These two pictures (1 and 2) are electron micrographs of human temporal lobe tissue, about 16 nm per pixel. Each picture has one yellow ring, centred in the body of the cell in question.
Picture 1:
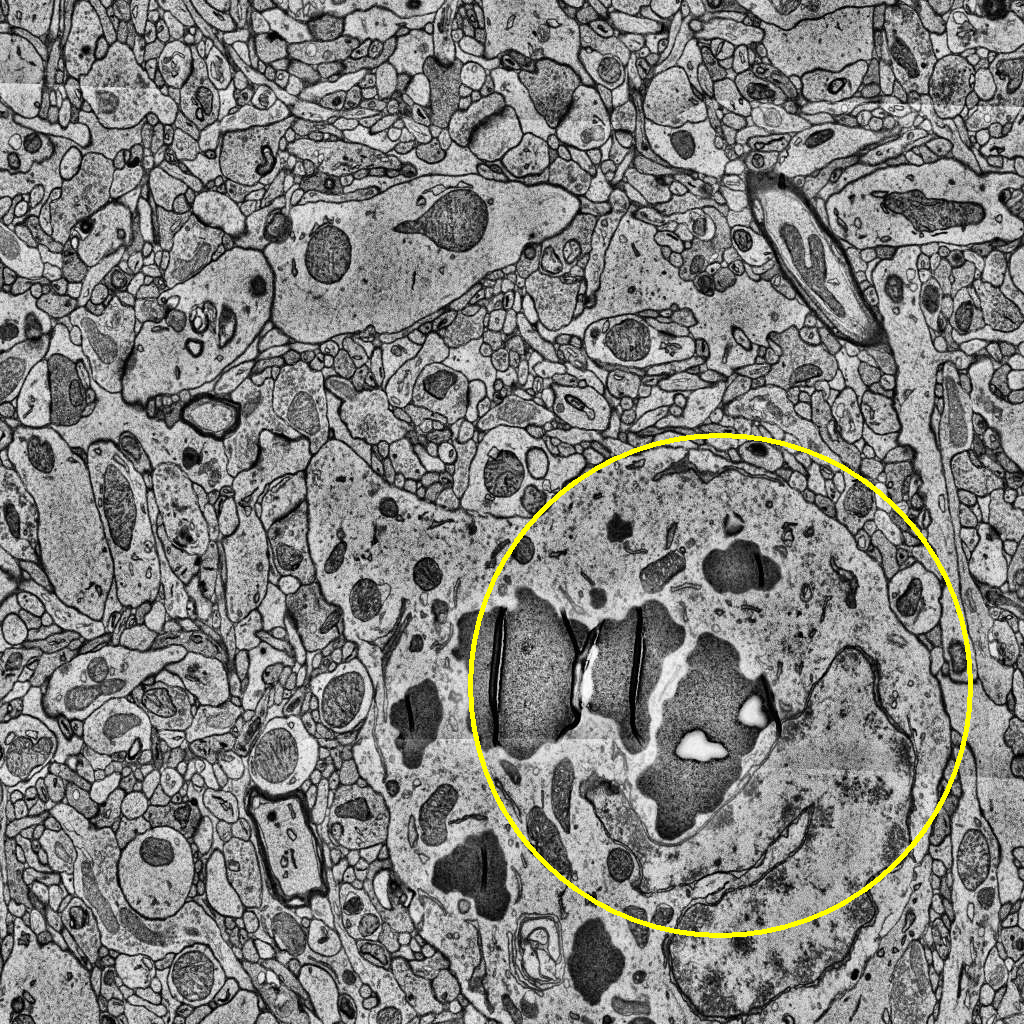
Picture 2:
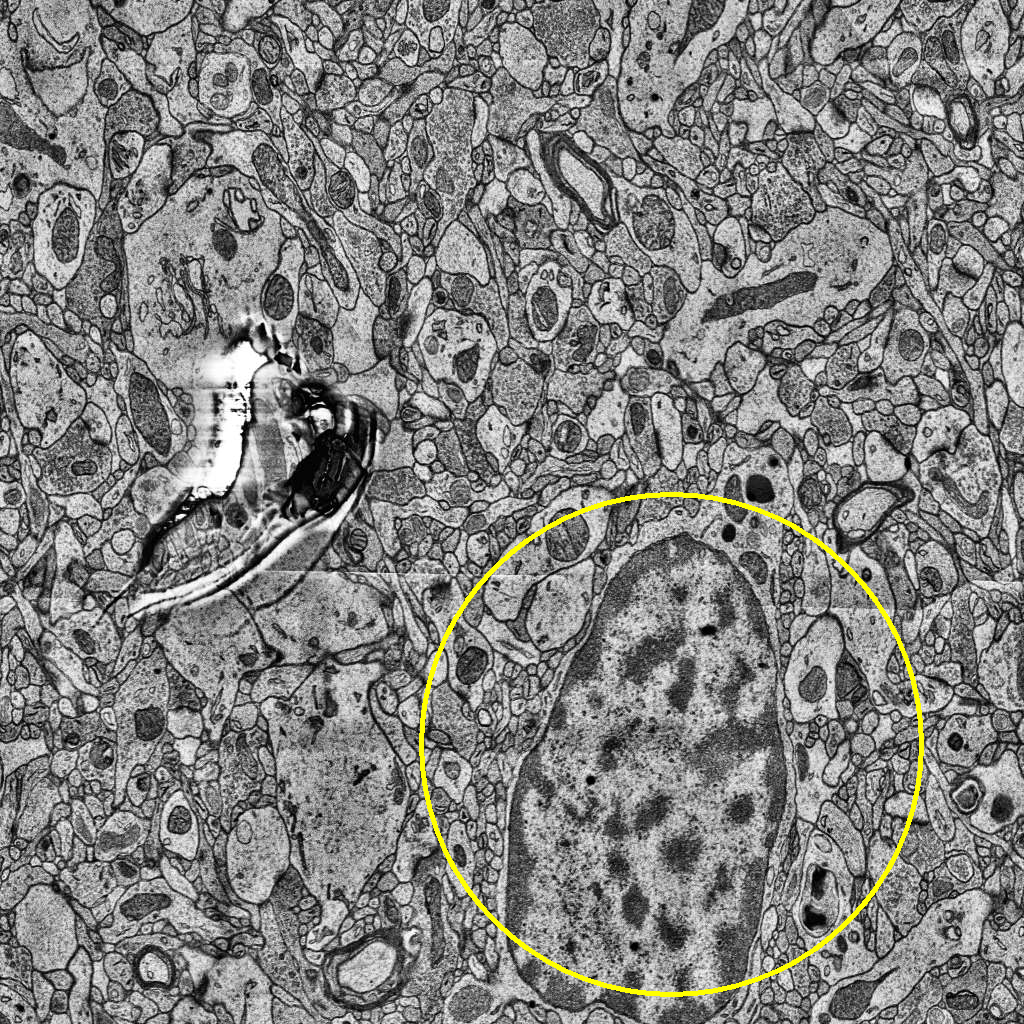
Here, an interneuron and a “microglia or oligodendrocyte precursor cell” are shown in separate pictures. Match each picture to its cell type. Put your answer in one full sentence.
It is picture 1 that shows an interneuron, and picture 2 that shows a “microglia or oligodendrocyte precursor cell”.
